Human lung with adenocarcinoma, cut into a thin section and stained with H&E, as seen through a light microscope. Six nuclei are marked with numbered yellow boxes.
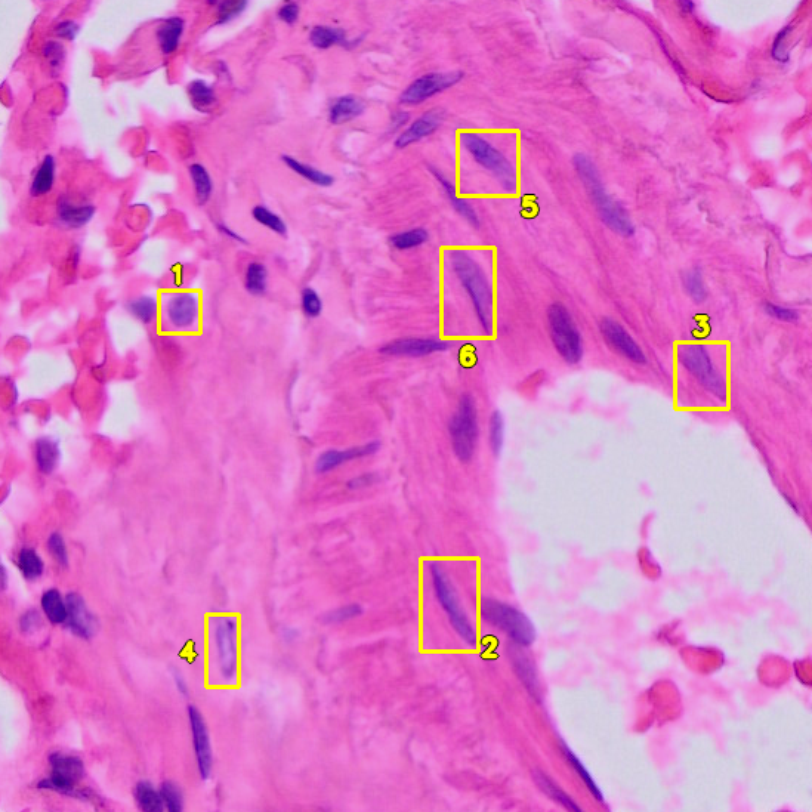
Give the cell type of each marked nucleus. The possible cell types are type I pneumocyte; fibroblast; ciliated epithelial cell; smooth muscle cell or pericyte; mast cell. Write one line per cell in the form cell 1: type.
cell 1: type I pneumocyte
cell 2: smooth muscle cell or pericyte
cell 3: smooth muscle cell or pericyte
cell 4: fibroblast
cell 5: smooth muscle cell or pericyte
cell 6: smooth muscle cell or pericyte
